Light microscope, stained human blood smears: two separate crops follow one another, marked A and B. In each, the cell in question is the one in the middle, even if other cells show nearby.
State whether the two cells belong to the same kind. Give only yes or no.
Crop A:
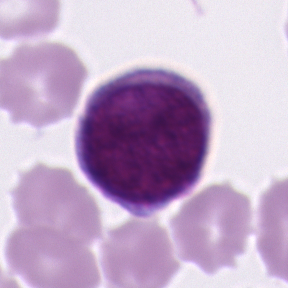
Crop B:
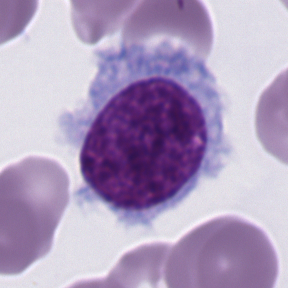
no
